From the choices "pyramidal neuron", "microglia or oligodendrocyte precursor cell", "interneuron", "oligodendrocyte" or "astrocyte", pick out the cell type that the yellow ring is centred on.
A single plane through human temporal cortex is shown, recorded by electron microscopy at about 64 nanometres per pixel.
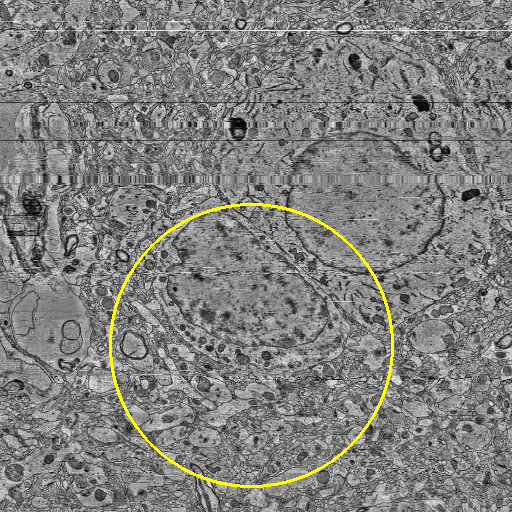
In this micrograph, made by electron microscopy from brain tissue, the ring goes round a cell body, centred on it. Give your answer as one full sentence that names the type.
The yellow ring is centred on an interneuron, whose cell body it encircles in the picture.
